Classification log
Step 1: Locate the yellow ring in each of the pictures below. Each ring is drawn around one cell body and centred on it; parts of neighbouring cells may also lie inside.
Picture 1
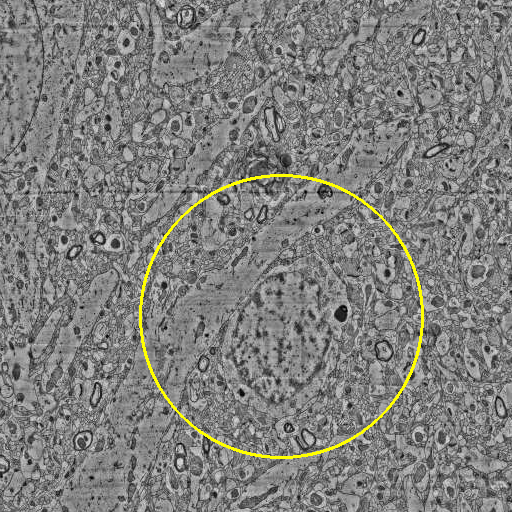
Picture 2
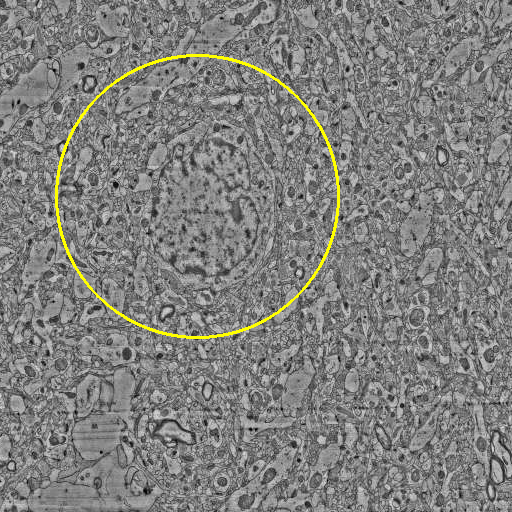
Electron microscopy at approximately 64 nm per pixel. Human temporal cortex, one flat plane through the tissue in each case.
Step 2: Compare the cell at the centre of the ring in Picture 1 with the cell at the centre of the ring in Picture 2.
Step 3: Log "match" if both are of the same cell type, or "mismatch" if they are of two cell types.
match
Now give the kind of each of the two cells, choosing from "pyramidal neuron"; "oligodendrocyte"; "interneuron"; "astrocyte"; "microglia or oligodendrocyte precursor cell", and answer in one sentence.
Both the first and the second picture show an interneuron in the ring.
